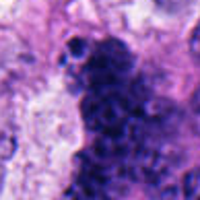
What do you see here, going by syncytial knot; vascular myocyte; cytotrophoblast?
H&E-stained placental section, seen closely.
I see a syncytial knot.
